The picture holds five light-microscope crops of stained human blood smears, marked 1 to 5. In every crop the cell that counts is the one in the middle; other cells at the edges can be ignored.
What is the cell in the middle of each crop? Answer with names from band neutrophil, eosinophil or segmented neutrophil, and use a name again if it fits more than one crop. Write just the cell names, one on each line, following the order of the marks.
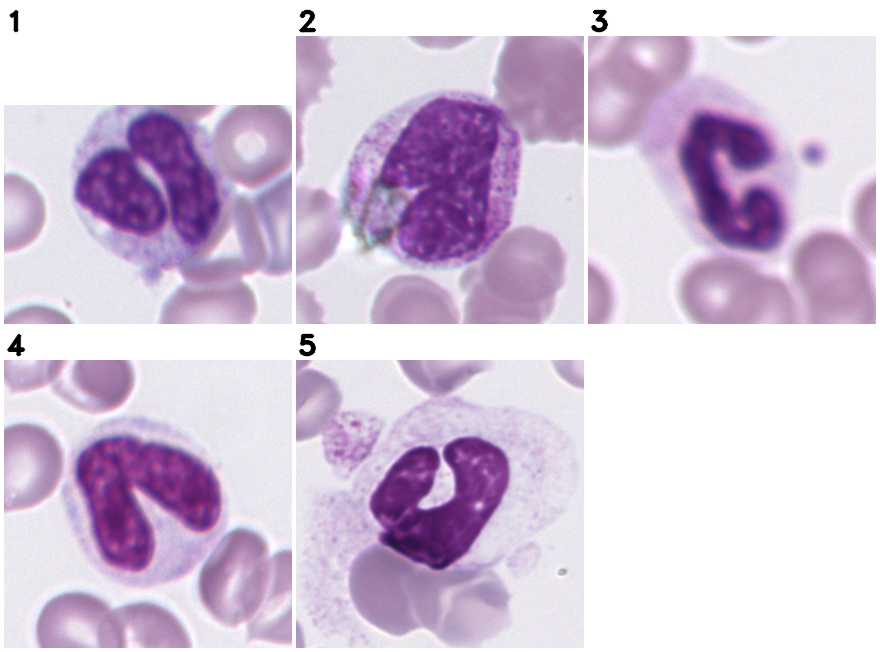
segmented neutrophil
band neutrophil
segmented neutrophil
band neutrophil
band neutrophil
